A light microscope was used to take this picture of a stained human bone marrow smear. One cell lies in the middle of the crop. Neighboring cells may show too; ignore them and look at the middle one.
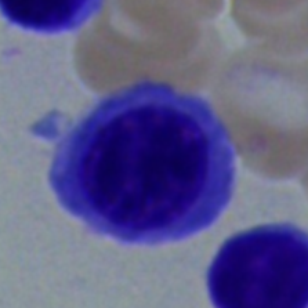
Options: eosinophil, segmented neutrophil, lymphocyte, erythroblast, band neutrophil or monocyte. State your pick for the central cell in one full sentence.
The crop's centre is taken up by an erythroblast.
